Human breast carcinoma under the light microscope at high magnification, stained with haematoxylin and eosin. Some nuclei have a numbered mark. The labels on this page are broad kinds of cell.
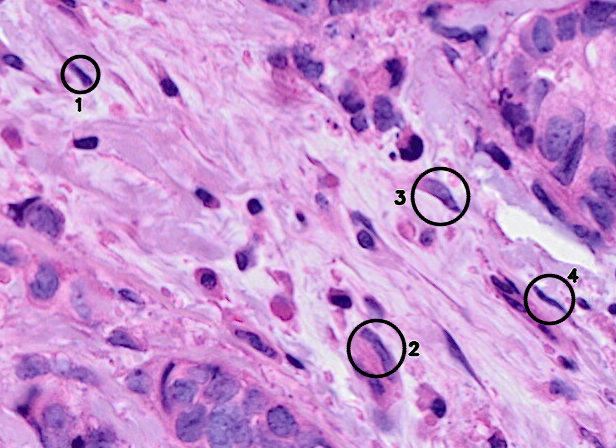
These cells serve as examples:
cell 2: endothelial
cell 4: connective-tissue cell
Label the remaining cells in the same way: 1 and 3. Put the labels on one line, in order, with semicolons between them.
connective-tissue cell; connective-tissue cell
